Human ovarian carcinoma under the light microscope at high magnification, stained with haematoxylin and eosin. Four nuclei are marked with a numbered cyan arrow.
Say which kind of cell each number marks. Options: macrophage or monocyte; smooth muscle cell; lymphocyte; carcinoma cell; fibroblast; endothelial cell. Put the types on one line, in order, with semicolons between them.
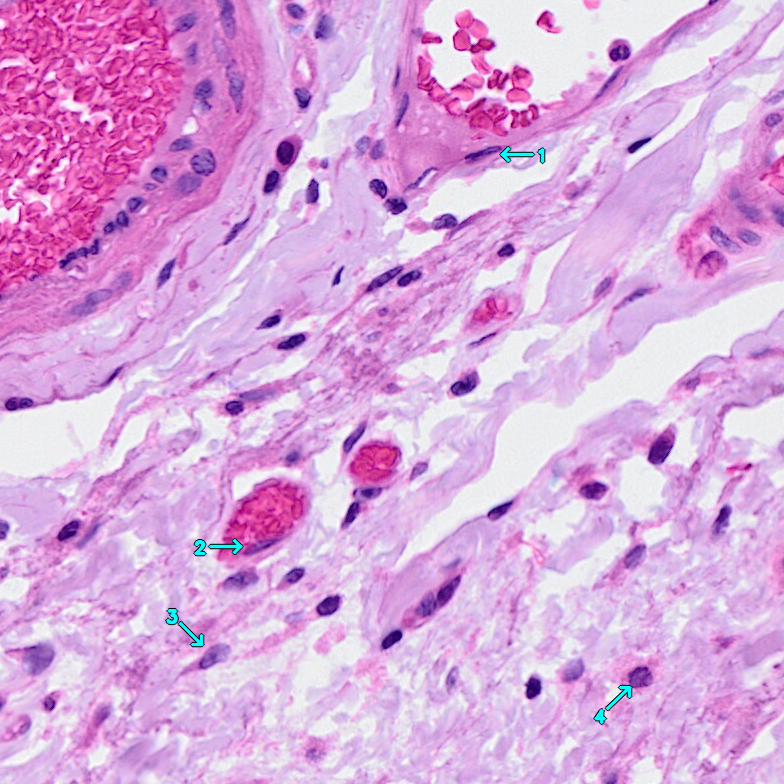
endothelial cell; endothelial cell; fibroblast; macrophage or monocyte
